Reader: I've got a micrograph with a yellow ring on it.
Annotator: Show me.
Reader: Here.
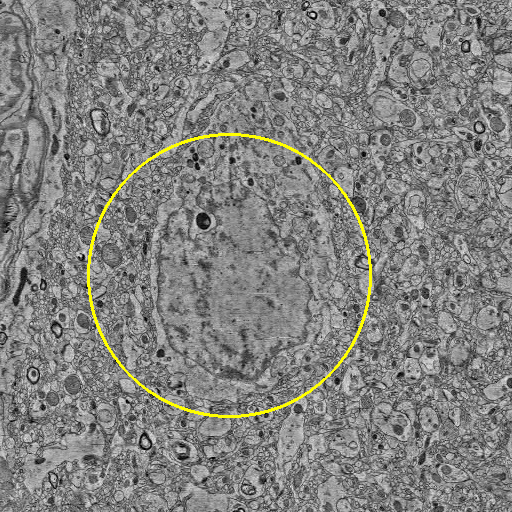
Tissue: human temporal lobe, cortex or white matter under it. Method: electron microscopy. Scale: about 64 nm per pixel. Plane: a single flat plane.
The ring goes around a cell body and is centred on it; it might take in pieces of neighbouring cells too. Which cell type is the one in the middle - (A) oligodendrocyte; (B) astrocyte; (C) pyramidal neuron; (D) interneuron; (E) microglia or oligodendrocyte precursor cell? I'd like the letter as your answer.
D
